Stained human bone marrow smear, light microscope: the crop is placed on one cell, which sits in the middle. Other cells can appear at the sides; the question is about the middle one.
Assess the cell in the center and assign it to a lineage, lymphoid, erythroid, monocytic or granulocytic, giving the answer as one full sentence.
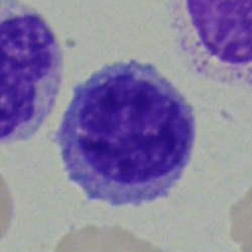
The cell at the center belongs, by lineage, to the monocytic line.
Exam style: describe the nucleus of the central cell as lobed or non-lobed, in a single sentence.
If you check the nucleus, you will find one compact mass, round, oval or kidney-shaped.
